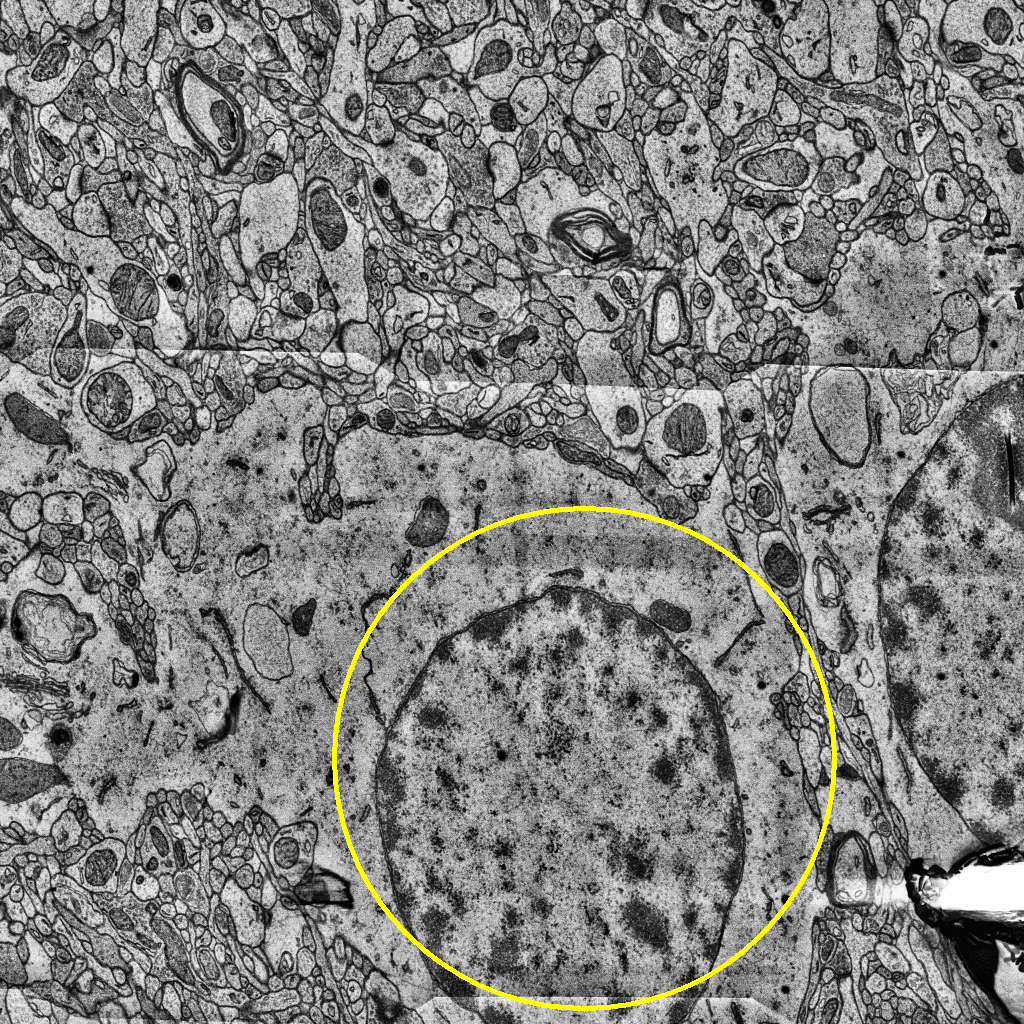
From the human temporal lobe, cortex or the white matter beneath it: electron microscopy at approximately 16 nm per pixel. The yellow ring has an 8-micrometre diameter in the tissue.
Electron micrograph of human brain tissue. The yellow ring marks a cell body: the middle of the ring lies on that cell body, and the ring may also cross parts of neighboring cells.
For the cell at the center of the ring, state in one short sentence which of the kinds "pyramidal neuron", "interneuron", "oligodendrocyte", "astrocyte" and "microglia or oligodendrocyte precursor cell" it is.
This ring's center lies on an astrocyte.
